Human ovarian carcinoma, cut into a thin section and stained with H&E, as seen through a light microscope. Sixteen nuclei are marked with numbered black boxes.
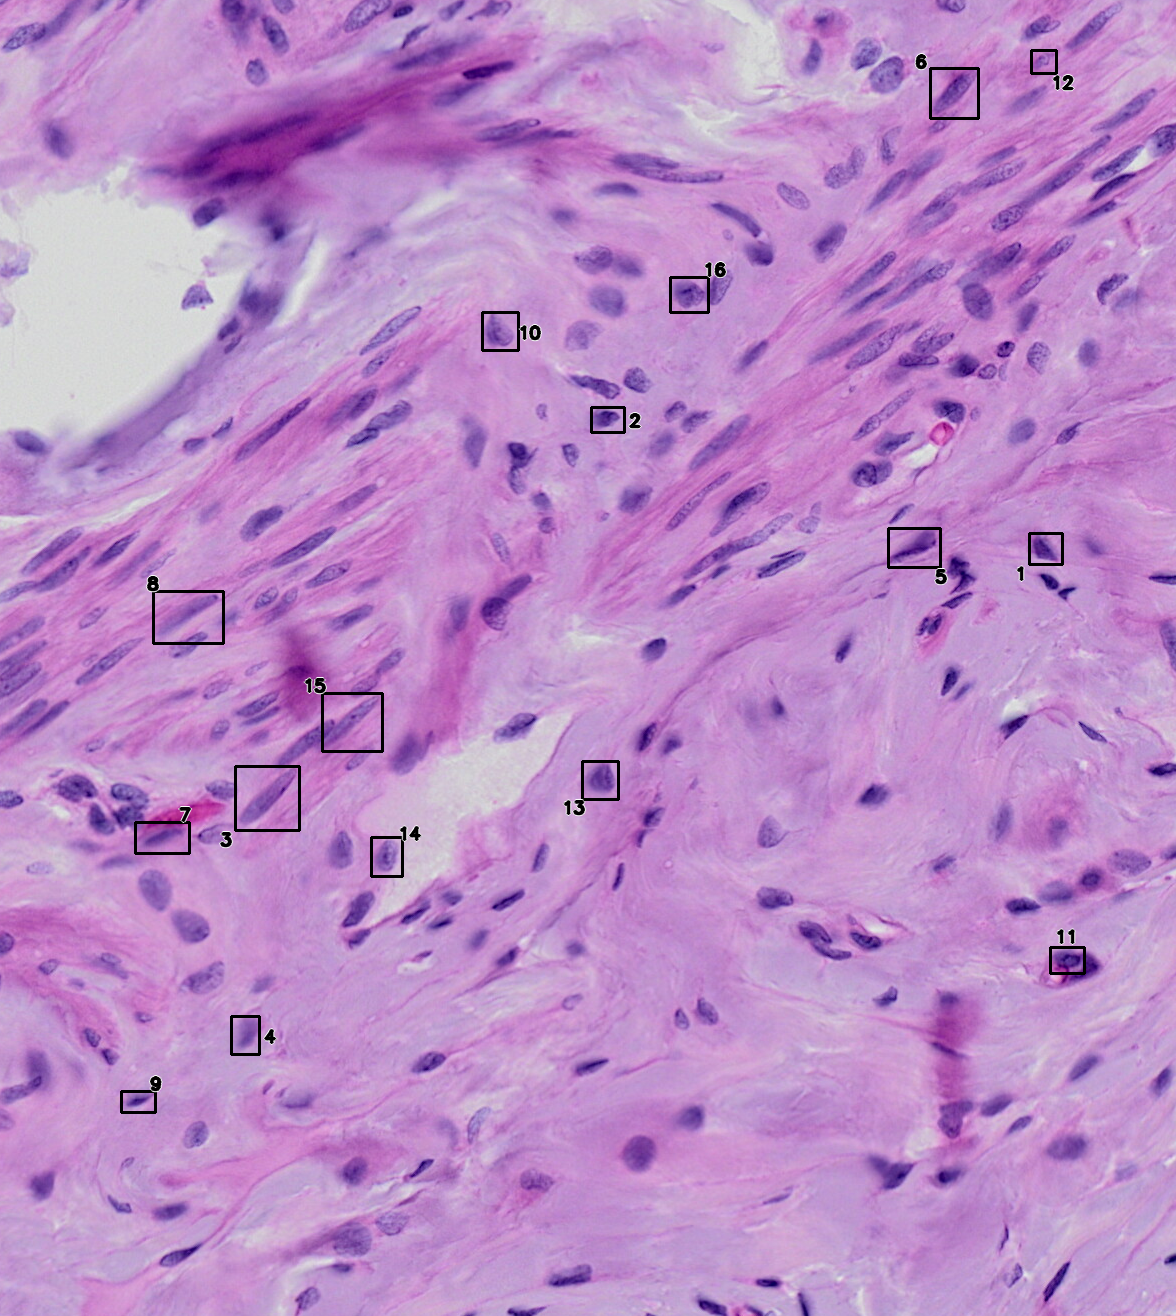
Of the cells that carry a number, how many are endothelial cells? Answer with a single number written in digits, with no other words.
3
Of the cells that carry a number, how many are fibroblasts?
8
